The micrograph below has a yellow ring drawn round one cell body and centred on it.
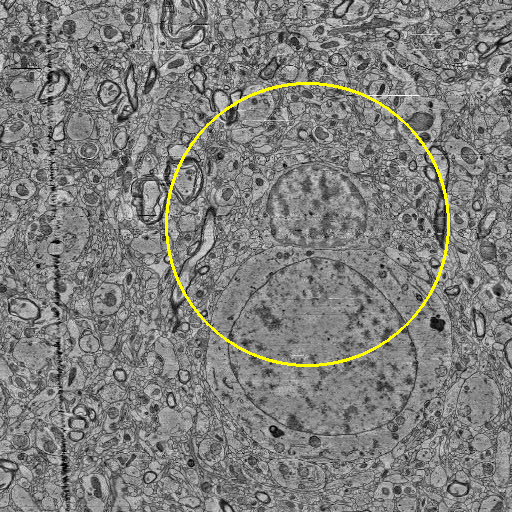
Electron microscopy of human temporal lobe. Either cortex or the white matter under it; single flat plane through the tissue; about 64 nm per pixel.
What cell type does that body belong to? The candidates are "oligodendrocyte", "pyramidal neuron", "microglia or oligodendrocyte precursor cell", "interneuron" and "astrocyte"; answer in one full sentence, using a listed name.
This is an oligodendrocyte, the cell whose body lies at the centre of the ring.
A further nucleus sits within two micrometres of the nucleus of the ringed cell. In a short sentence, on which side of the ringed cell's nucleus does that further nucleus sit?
The other one is below it.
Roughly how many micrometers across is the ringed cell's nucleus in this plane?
The nucleus of the ringed cell is approximately 6 micrometres across in this plane.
